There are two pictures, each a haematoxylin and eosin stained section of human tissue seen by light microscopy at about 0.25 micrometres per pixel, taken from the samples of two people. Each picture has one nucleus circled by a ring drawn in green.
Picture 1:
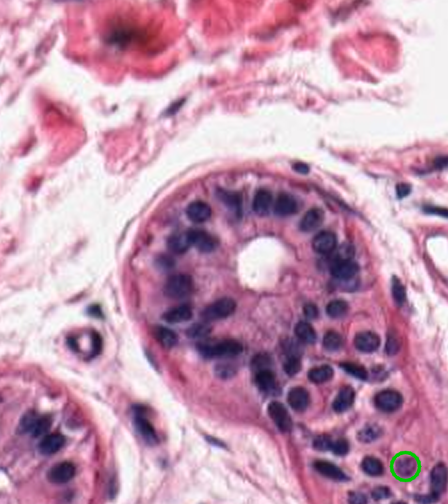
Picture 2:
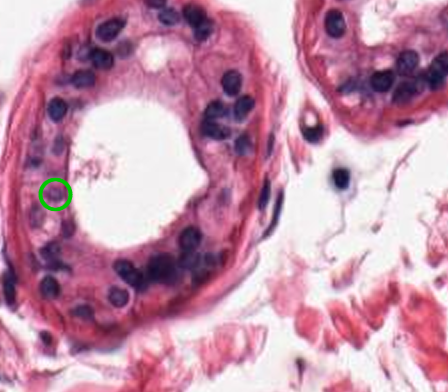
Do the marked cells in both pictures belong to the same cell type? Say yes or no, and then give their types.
Yes, both are sweat gland cells.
